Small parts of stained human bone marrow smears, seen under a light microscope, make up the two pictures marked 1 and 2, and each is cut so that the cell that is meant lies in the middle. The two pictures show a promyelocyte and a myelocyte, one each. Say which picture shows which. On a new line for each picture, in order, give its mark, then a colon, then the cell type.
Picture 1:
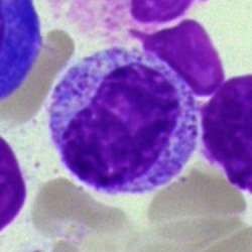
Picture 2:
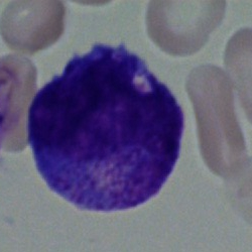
1: myelocyte
2: promyelocyte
